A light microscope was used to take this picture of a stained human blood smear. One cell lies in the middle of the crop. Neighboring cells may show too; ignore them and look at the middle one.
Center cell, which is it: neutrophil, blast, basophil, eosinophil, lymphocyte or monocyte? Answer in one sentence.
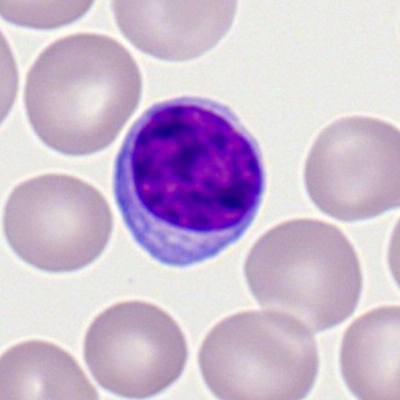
For this crop, the cell in the middle is a lymphocyte.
